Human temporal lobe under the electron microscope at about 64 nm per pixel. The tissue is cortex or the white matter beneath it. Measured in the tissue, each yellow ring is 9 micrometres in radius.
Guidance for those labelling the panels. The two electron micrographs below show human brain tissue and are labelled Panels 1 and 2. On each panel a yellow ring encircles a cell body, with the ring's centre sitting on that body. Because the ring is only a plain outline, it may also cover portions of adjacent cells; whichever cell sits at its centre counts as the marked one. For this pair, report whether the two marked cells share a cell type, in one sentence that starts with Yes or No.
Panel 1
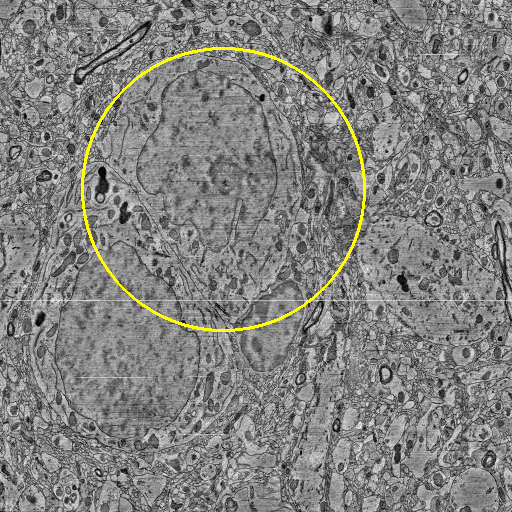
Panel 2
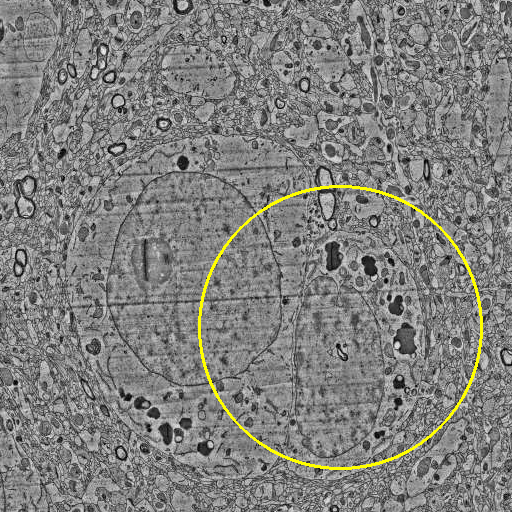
Yes, in Panel 1 and Panel 2 the marked cells at the ring centres share one type.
